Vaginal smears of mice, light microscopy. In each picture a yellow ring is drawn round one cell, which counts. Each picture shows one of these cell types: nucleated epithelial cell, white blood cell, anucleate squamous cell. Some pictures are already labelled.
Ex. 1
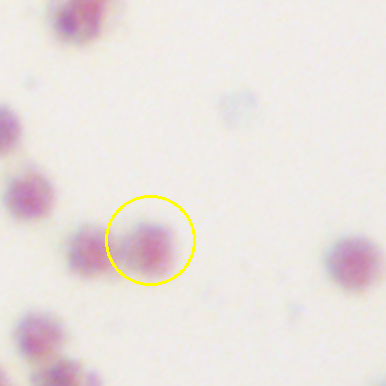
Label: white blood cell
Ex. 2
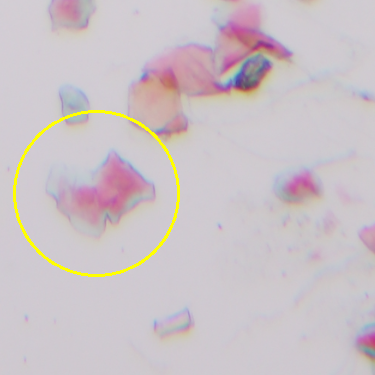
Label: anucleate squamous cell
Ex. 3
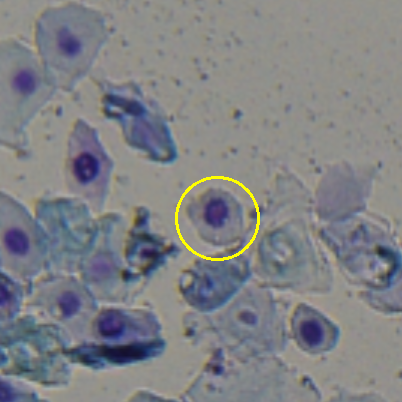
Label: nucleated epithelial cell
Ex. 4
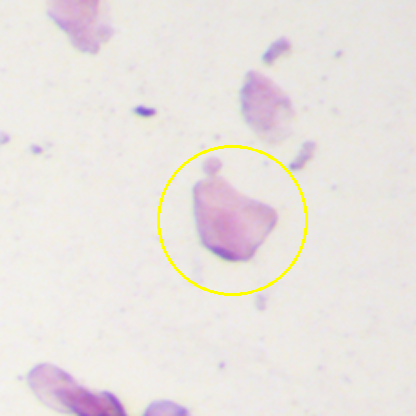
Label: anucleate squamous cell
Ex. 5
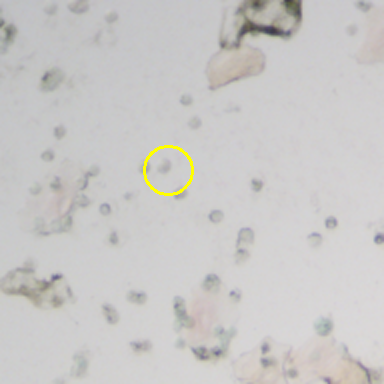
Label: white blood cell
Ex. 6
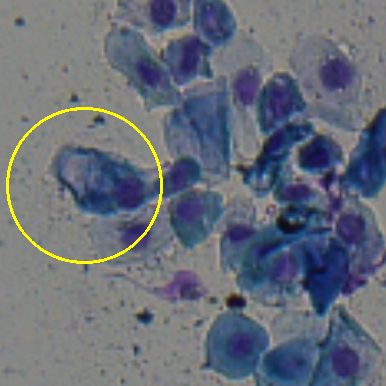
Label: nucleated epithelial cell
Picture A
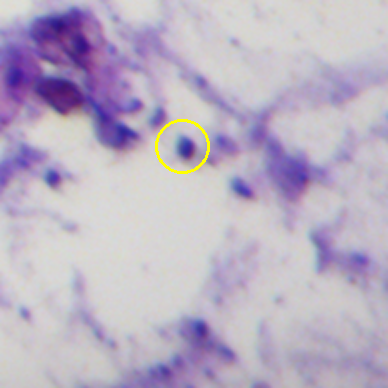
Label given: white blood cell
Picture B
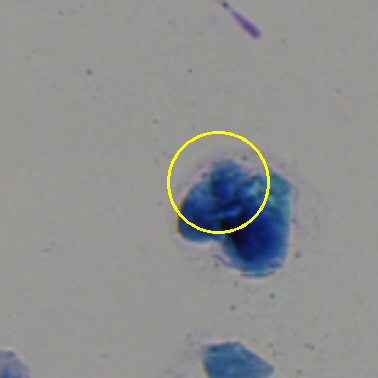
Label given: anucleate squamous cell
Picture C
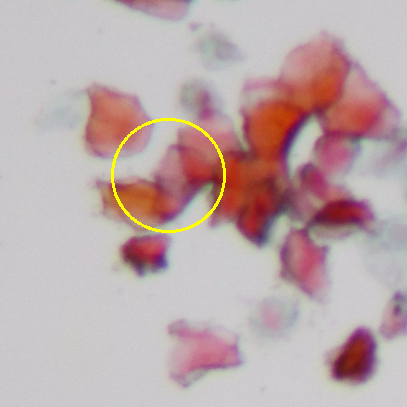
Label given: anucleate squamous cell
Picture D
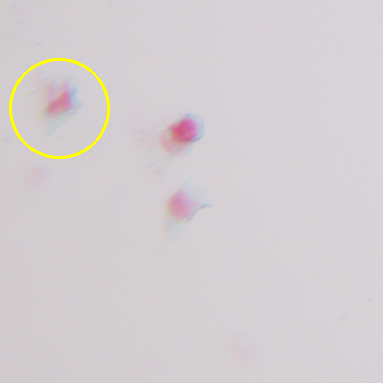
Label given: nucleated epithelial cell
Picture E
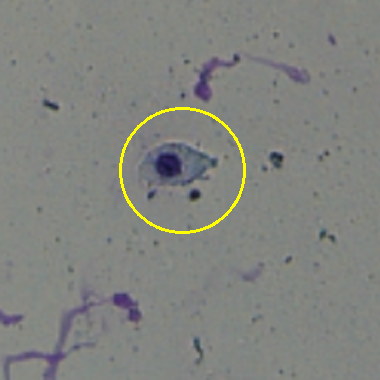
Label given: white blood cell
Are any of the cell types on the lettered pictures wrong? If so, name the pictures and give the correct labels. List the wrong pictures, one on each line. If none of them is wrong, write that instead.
E: not white blood cell but nucleated epithelial cell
